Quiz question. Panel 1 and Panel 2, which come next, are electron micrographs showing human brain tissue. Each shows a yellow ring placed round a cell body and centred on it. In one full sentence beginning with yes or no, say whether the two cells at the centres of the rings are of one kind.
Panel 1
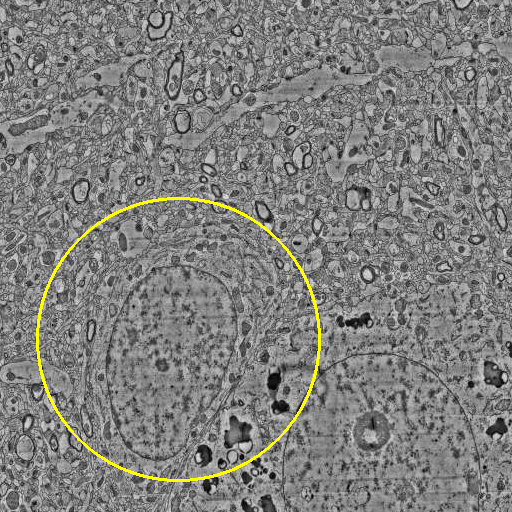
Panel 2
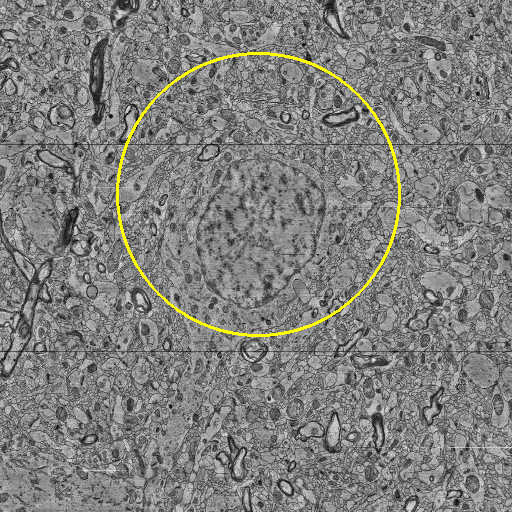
Yes, Panel 1 and Panel 2 show one kind of cell at the centre of the ring.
